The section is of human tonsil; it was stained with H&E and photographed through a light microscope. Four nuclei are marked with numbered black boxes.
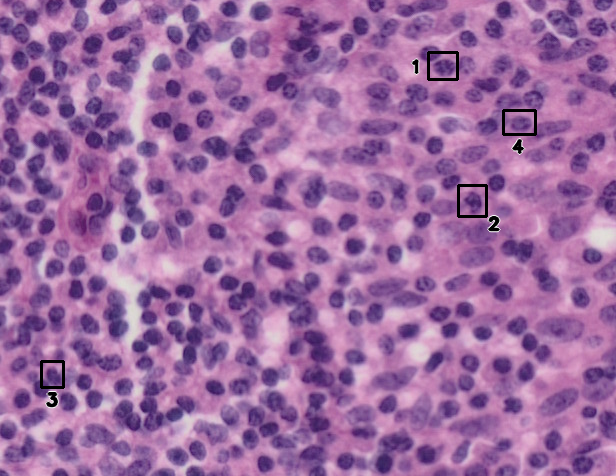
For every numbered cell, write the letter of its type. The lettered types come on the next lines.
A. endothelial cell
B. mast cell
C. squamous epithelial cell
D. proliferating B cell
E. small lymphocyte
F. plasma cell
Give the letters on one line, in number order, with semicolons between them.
F; F; E; F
